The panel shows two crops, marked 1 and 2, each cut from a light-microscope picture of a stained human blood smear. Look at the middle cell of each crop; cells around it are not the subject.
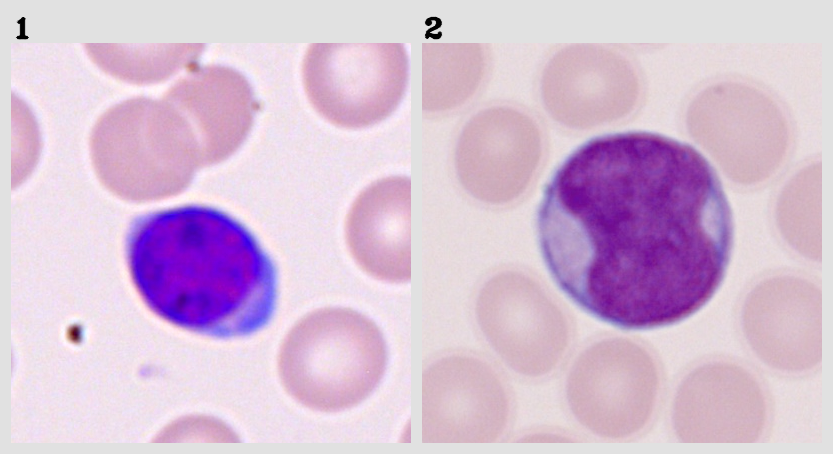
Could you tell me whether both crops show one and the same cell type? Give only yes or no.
no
